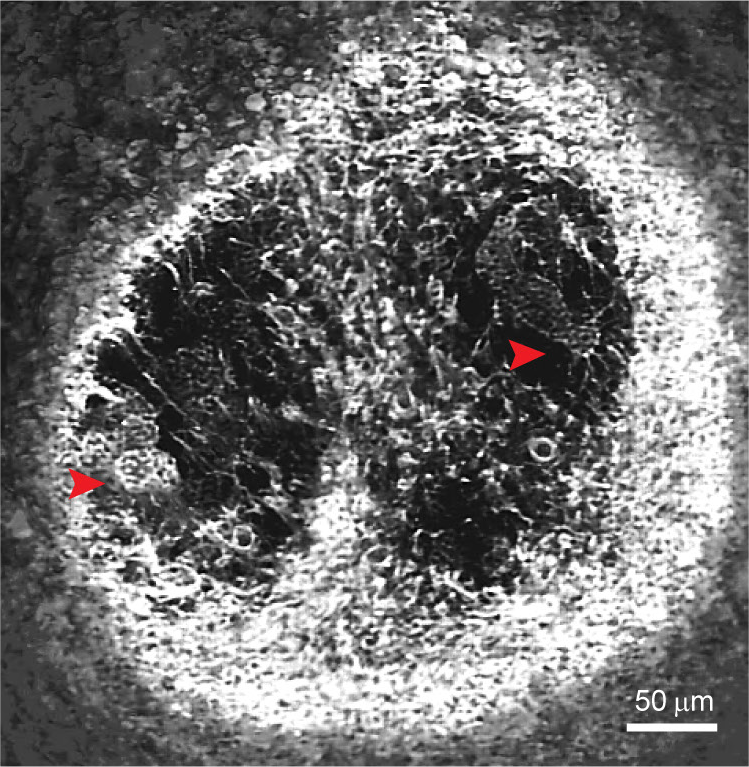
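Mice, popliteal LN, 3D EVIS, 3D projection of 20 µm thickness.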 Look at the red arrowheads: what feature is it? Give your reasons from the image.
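These spots lie within large dark, largely unlabelled rounded regions. The dark regions are surrounded by a bright meshwork. The answer: brightly labelled multilobular spaces.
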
